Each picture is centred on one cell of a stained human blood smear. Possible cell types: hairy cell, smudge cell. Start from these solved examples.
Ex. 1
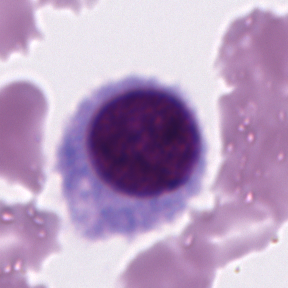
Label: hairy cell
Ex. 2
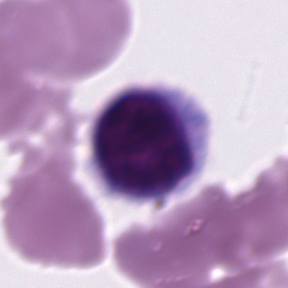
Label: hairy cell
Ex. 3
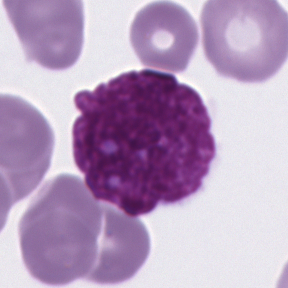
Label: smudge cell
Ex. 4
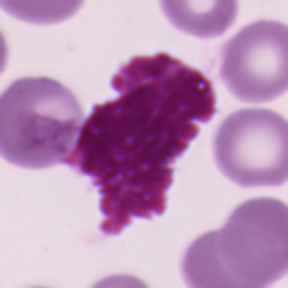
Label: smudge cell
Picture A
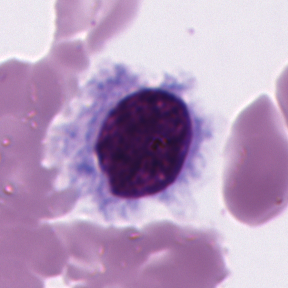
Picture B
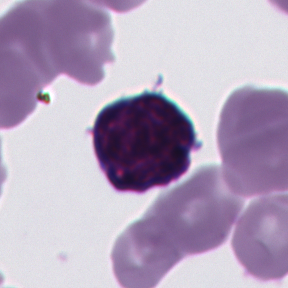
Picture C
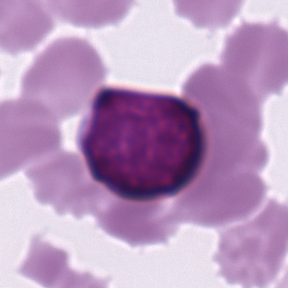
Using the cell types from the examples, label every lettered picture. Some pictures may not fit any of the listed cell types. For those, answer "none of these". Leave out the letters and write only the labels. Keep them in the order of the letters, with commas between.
hairy cell, none of these, none of these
